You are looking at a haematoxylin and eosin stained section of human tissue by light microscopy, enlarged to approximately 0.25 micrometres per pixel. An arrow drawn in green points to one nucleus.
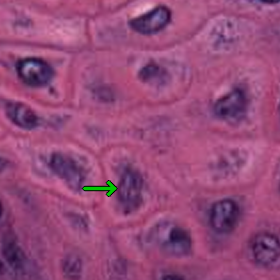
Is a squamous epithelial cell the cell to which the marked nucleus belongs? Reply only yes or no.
yes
